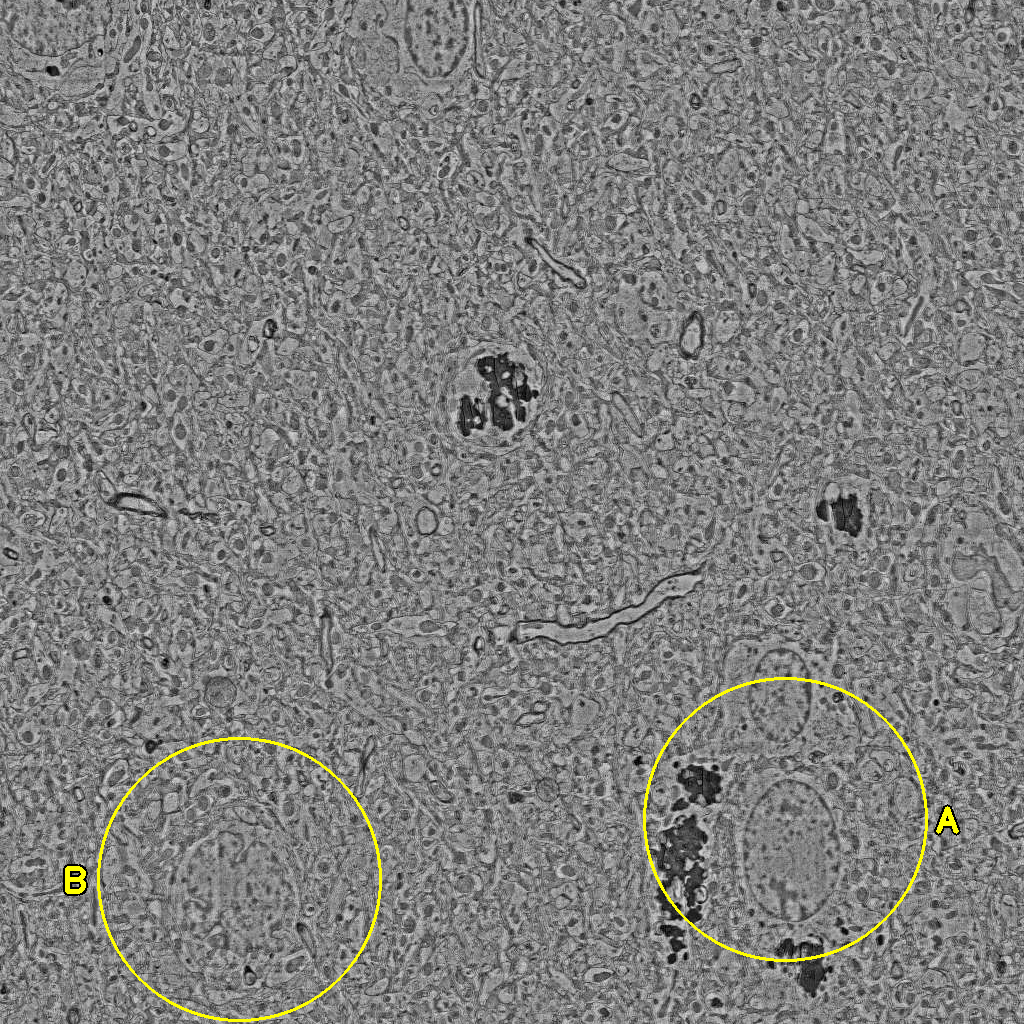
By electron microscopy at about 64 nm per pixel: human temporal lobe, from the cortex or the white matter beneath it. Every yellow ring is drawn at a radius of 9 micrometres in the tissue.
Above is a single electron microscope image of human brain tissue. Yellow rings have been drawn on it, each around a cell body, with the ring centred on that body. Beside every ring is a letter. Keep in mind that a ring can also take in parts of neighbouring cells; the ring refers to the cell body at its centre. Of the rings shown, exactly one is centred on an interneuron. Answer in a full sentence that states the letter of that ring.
The cell at the centre of ring B is the one asked for.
